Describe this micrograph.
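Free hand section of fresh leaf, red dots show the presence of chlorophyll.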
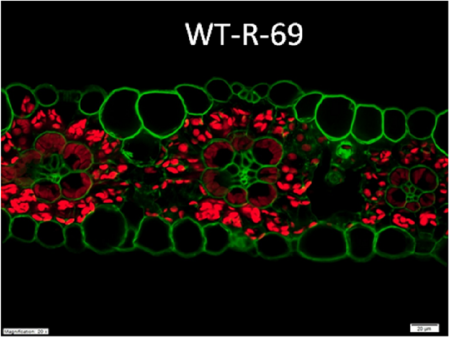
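This is a cross section of a grass-type leaf blade, with cell walls outlined in green and chloroplasts glowing red. Upper and lower surfaces are each a single layer of large, rounded, empty-looking epidermal cells. Between them lie several vascular bundles in a row, each with small thick-walled conducting cells at the centre surrounded by a ring of larger sheath cells. Mesophyll cells between and around the bundles are densely packed with red chloroplasts, which crowd in a wreath-like arrangement around each bundle. A few large clear cells without red bodies interrupt the mesophyll between bundles.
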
